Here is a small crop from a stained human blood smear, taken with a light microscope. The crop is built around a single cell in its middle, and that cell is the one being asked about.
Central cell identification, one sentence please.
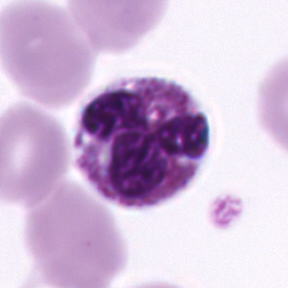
The center cell of this crop is an eosinophil.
